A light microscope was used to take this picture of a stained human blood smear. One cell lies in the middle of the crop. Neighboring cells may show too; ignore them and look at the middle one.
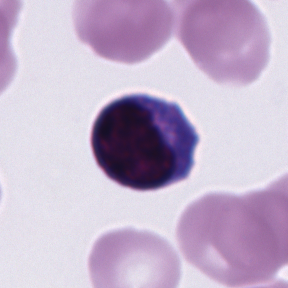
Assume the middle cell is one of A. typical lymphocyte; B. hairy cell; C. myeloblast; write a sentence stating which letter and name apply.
The correct choice is option A, which identifies the middle cell as a typical lymphocyte.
